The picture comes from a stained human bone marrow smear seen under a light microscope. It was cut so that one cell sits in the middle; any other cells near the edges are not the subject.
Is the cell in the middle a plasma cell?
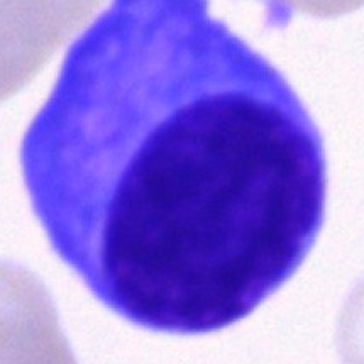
yes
